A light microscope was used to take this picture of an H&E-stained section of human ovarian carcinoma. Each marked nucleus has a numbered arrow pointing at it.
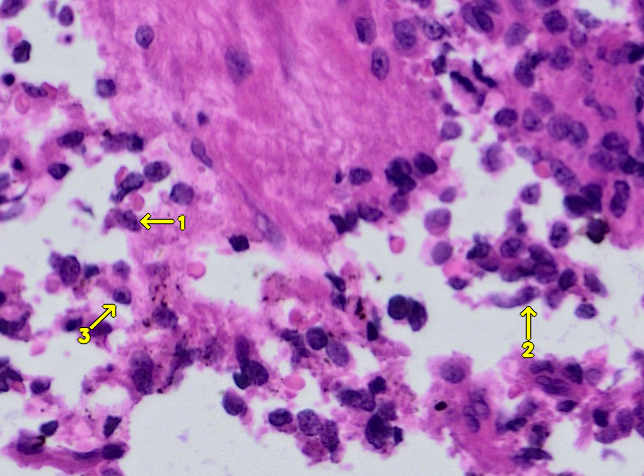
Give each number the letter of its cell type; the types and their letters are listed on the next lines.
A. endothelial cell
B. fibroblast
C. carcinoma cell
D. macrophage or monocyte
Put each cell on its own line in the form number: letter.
1: D
2: C
3: D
